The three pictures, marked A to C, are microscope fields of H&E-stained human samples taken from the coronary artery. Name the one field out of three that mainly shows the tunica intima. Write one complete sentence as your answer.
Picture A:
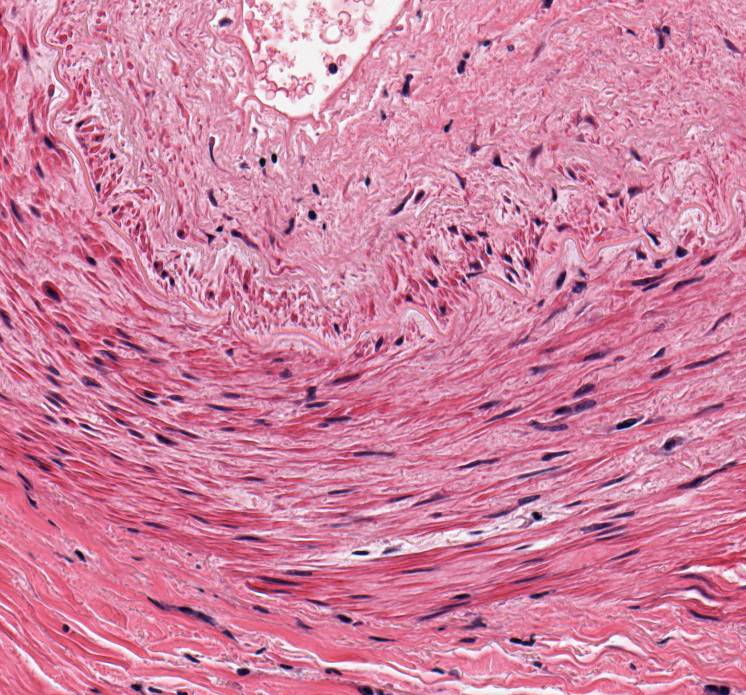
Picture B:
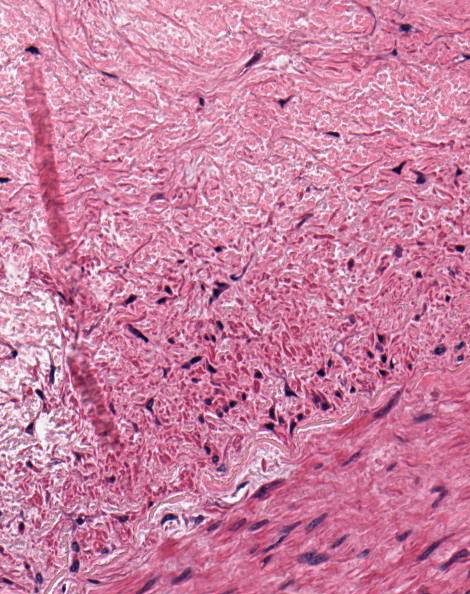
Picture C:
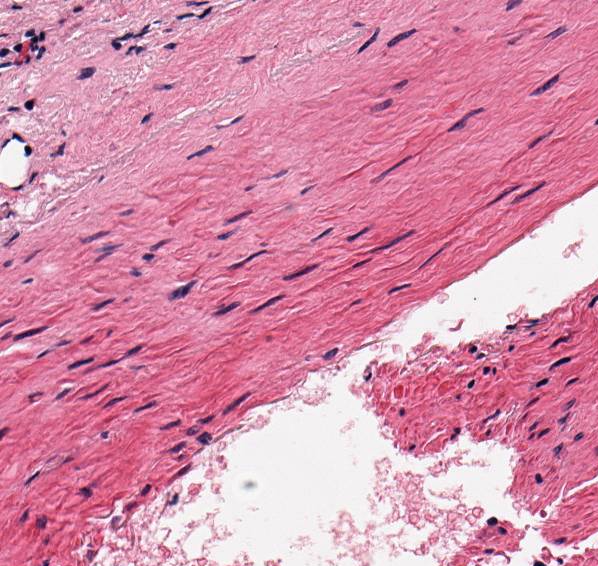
The one that mainly shows the tunica intima is picture B.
